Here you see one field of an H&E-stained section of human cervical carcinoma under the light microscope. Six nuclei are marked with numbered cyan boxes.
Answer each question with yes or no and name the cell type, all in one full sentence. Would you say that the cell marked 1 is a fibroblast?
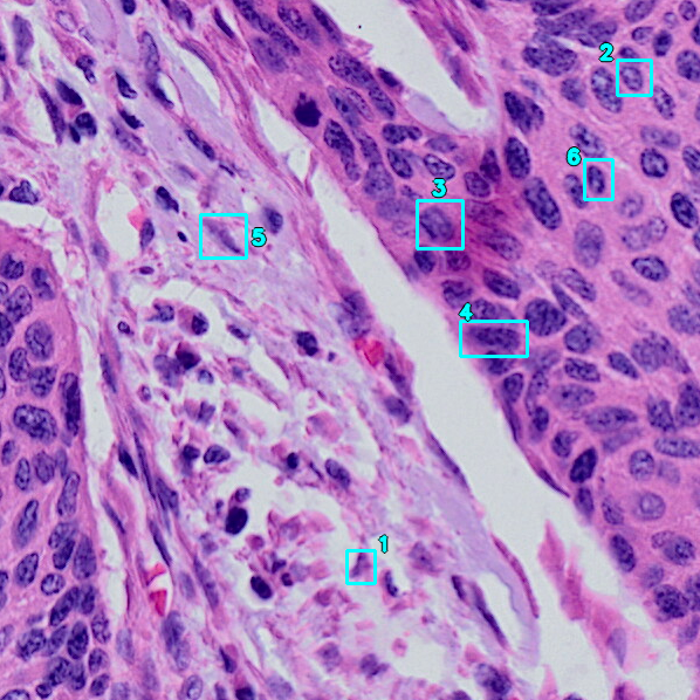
Yes, of the numbered cells, number 1 is a fibroblast.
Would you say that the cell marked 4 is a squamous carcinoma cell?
Yes, the cell numbered 4 in this tissue is a squamous carcinoma cell.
